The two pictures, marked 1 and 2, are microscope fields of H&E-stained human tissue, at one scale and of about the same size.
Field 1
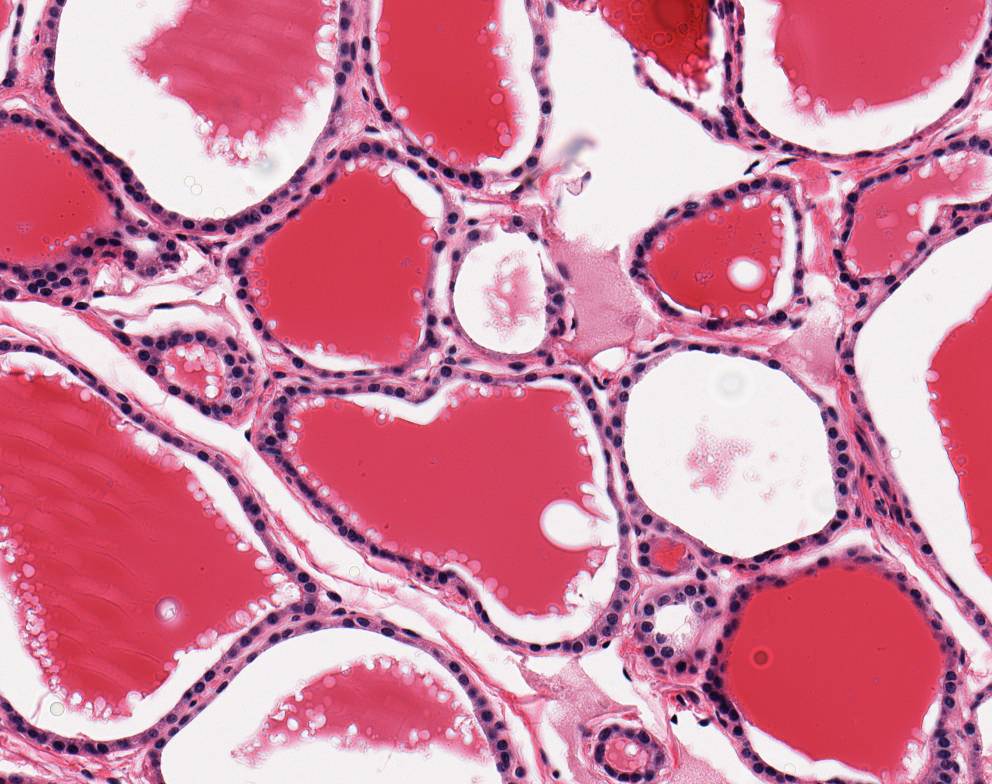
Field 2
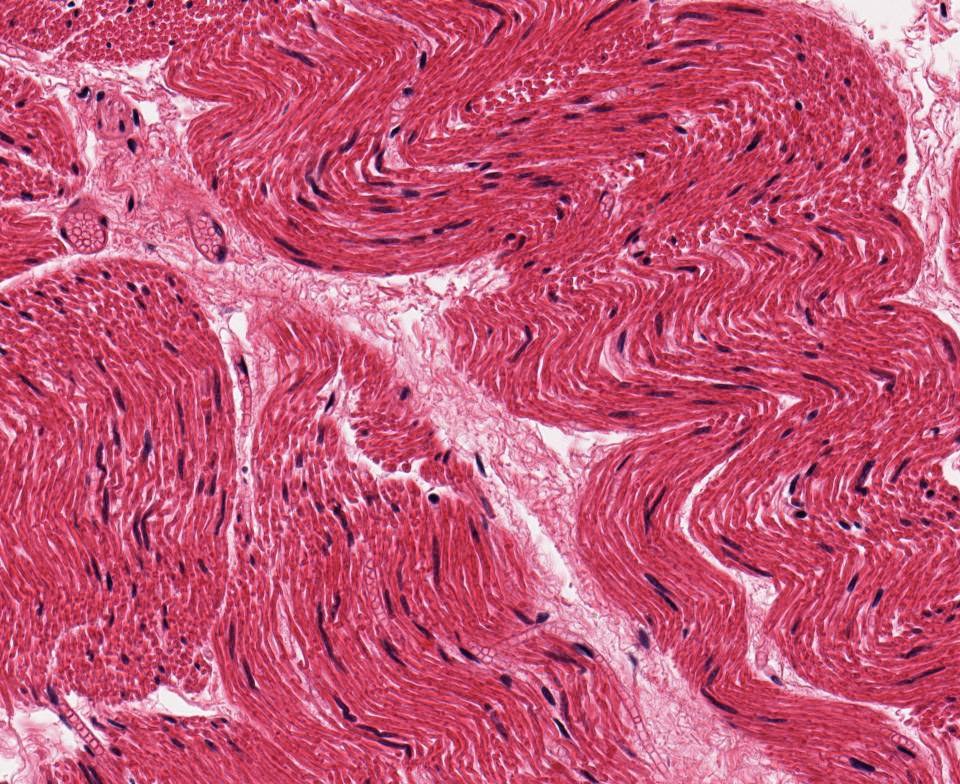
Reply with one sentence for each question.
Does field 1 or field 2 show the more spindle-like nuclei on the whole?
On the whole the nuclei of field 2 are more drawn out than those of field 1.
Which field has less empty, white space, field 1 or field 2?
Field 2 has less white space.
